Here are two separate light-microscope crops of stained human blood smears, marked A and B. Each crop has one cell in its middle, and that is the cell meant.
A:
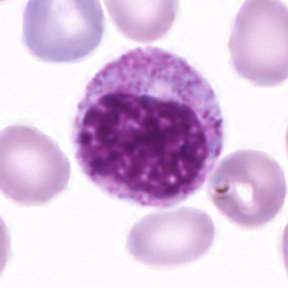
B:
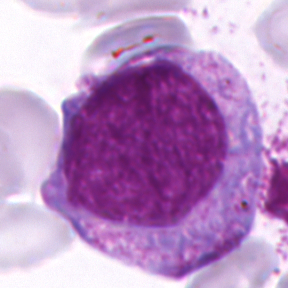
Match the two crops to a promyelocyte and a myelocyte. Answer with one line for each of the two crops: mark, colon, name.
A: myelocyte
B: promyelocyte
